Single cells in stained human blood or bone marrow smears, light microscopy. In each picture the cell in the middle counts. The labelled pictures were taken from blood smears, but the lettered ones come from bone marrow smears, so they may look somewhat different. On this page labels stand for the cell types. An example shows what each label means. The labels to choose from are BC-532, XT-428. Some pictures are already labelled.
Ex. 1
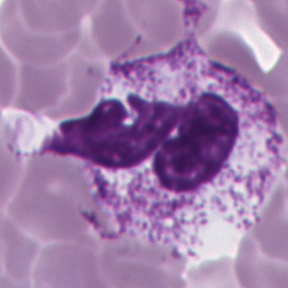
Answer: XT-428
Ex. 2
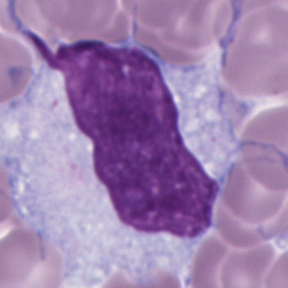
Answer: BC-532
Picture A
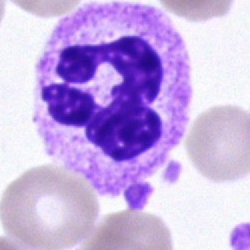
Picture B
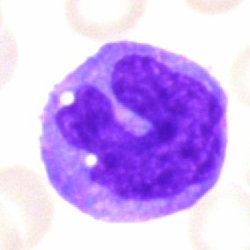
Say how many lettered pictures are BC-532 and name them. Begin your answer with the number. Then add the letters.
1, namely B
